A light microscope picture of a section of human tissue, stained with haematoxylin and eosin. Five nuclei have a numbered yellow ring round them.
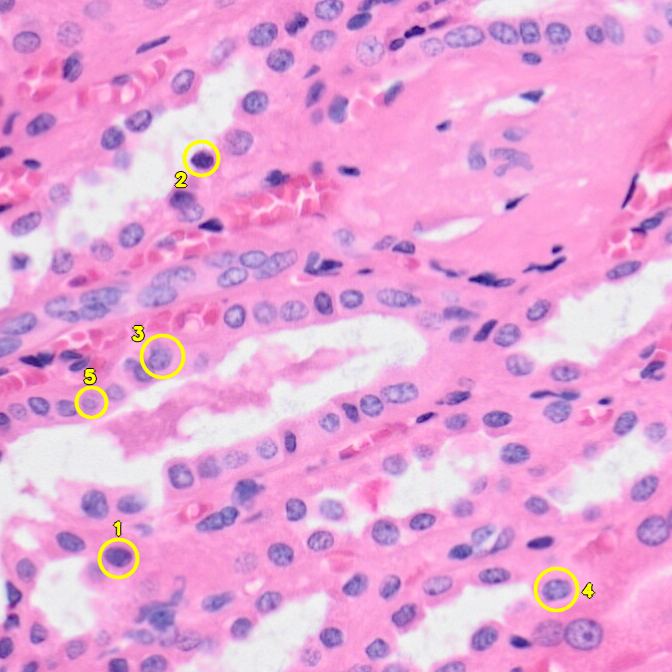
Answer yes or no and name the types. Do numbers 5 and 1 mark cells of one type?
No, cell 5 is a collecting duct cell and cell 1 is a loop of Henle or distal tubule cell.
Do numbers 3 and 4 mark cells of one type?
No, cell 3 is a collecting duct cell and cell 4 is a loop of Henle or distal tubule cell.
